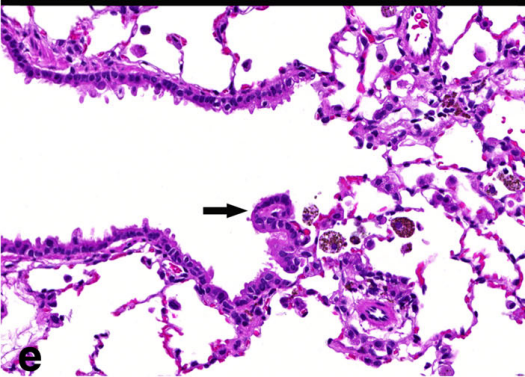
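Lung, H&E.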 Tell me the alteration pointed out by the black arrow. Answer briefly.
focal bronchiolo-alveolar hyperplasia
